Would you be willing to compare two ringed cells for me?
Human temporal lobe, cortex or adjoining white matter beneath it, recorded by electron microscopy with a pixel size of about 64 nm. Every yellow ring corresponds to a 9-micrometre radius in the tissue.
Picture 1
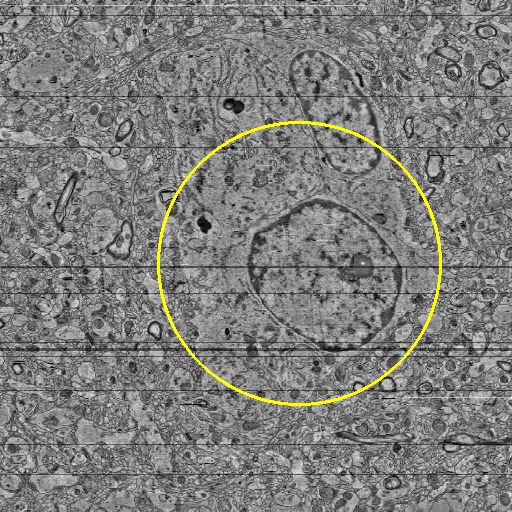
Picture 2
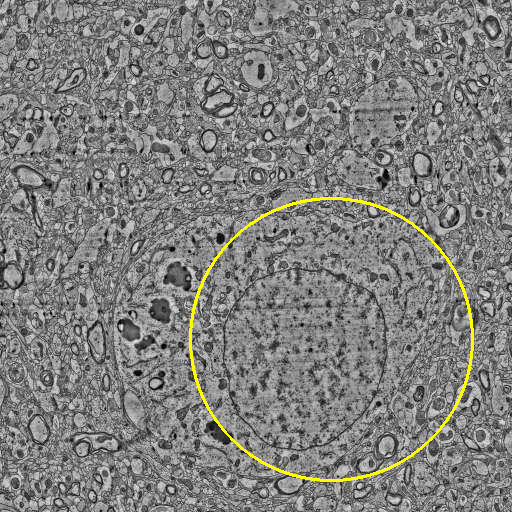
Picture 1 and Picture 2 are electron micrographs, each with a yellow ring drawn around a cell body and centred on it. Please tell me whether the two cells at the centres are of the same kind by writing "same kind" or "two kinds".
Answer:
two kinds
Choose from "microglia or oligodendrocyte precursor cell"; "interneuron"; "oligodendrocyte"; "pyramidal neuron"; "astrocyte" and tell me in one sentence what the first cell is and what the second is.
What the first ring is centred on is a microglial cell or oligodendrocyte precursor cell; what the second ring is centred on is a pyramidal neuron.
